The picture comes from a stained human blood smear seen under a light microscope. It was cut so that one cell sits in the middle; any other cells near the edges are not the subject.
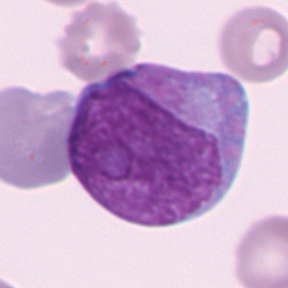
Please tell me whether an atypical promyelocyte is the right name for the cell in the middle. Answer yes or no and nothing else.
yes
